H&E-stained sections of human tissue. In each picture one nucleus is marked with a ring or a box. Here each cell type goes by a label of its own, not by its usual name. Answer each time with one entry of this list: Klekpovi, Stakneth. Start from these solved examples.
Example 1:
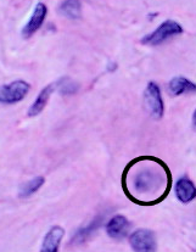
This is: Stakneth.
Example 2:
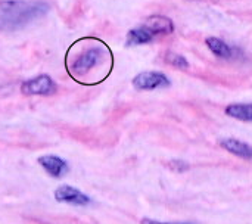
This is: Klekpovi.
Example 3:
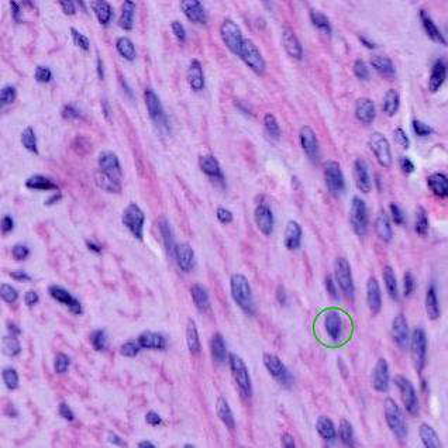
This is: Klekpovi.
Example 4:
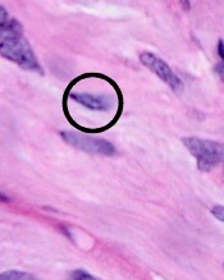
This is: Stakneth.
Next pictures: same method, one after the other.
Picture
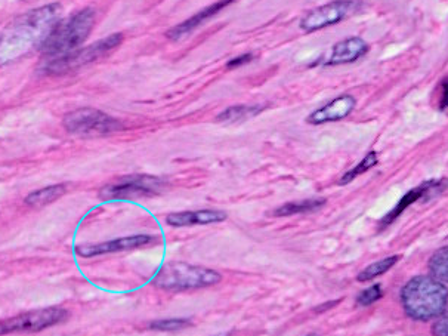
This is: Stakneth.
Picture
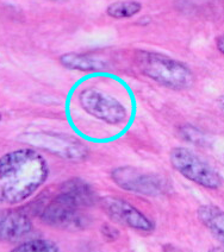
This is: Stakneth.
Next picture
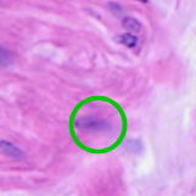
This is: Klekpovi.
